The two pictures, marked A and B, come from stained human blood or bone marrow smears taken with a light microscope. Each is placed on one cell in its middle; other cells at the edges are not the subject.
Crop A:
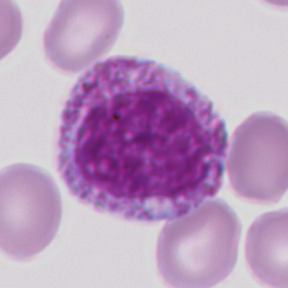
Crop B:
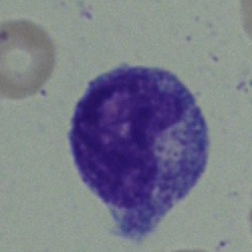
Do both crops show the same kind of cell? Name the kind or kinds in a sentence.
Yes, myelocytes are depicted in both crops.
